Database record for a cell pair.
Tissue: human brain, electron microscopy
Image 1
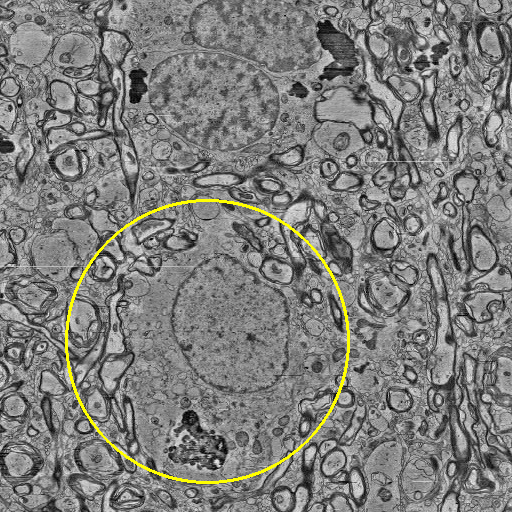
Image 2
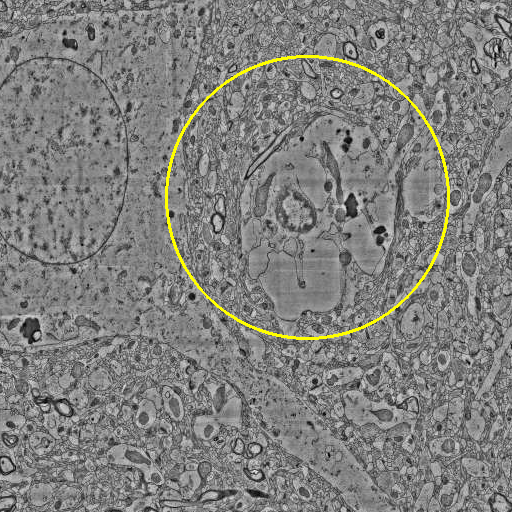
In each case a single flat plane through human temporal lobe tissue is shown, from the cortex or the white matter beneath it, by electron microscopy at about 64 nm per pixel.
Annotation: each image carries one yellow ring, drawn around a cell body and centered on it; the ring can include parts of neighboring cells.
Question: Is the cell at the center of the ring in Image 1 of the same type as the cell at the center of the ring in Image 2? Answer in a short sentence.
Yes, the cells are of the same type.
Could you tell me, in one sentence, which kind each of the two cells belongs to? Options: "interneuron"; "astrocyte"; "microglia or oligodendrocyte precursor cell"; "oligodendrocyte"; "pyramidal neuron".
Each cell, in the first picture and the second, is an astrocyte.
